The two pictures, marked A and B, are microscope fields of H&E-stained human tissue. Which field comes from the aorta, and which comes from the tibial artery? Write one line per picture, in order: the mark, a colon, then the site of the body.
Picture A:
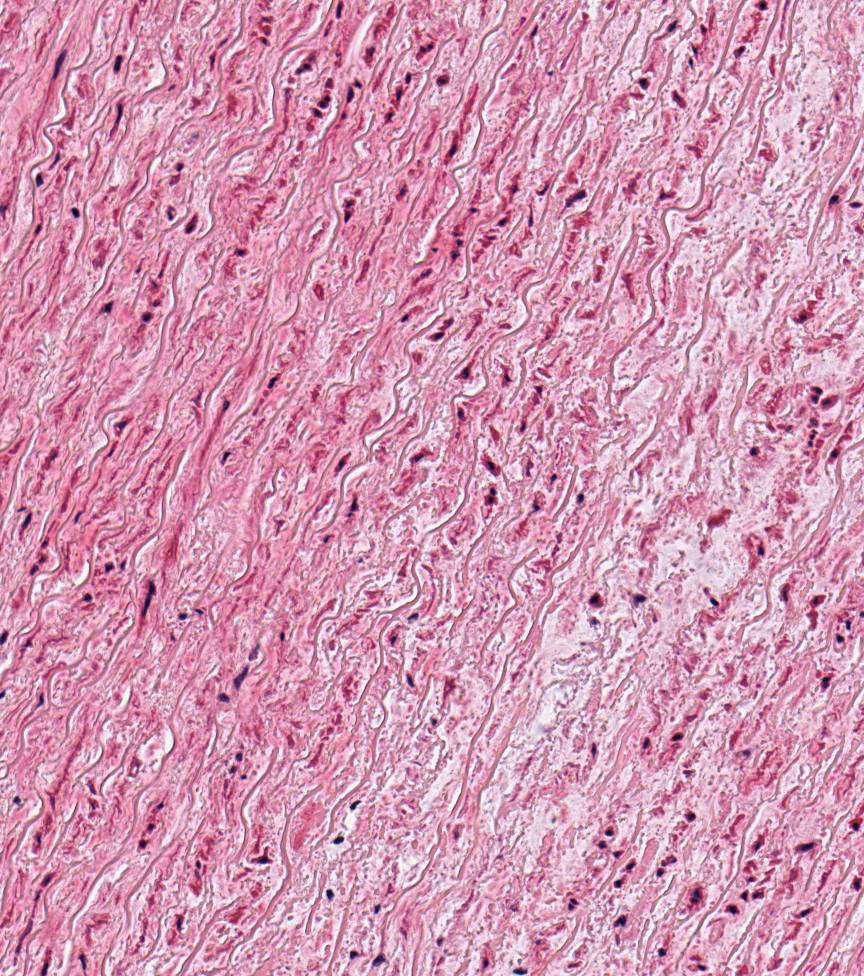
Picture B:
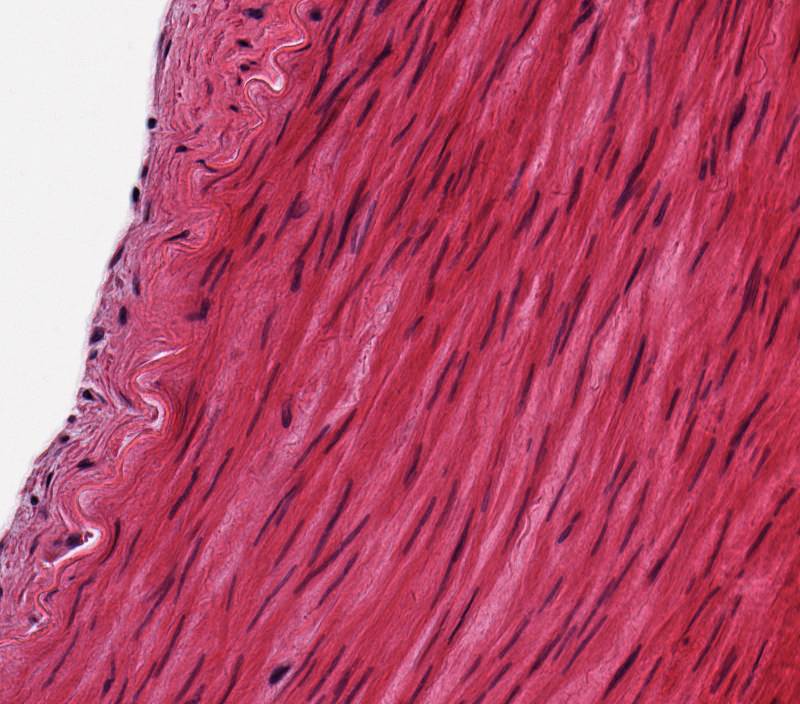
A: aorta
B: tibial artery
